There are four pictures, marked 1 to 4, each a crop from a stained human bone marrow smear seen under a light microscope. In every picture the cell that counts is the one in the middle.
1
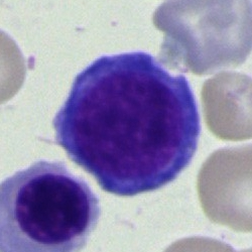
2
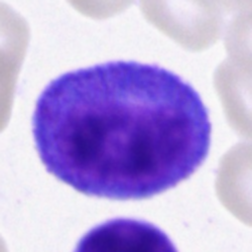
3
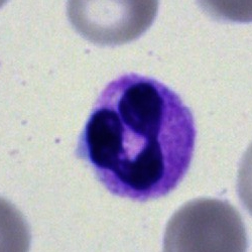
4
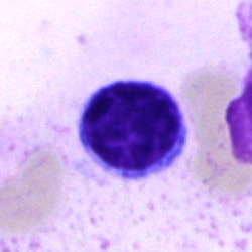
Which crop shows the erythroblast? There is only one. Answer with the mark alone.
1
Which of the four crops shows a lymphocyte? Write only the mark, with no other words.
4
